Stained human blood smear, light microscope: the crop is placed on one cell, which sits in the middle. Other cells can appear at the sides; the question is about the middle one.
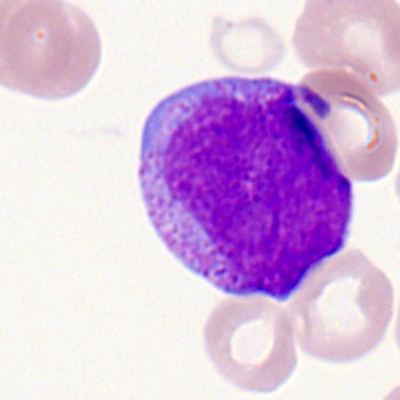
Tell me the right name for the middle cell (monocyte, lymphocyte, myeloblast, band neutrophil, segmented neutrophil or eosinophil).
myeloblast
